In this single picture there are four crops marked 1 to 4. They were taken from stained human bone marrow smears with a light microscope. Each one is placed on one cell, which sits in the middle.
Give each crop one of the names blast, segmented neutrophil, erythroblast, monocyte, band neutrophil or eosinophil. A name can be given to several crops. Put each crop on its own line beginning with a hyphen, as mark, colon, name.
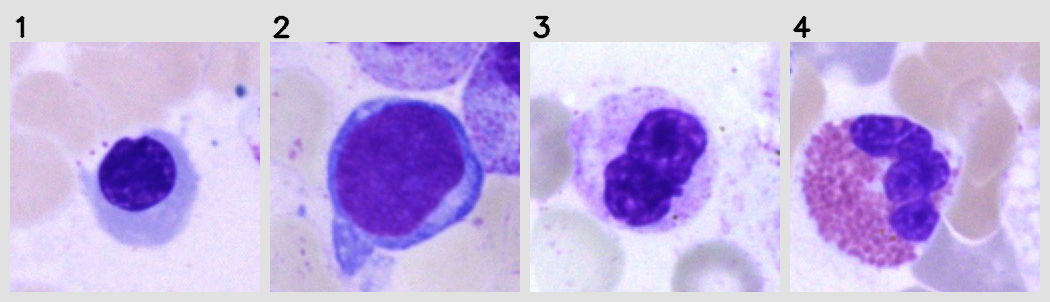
- 1: erythroblast
- 2: blast
- 3: band neutrophil
- 4: eosinophil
